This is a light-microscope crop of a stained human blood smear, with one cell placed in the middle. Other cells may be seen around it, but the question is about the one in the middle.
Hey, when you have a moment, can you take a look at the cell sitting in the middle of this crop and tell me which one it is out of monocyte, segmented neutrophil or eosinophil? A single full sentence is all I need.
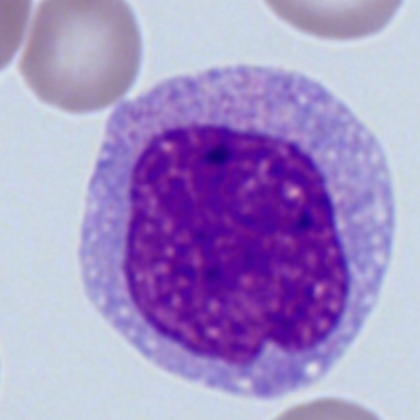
The centrally placed cell is classified as a monocyte.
